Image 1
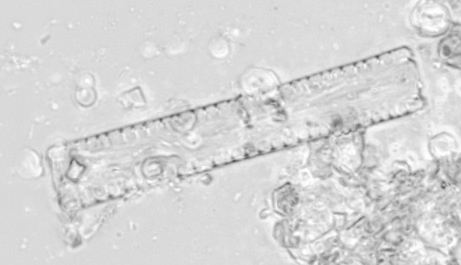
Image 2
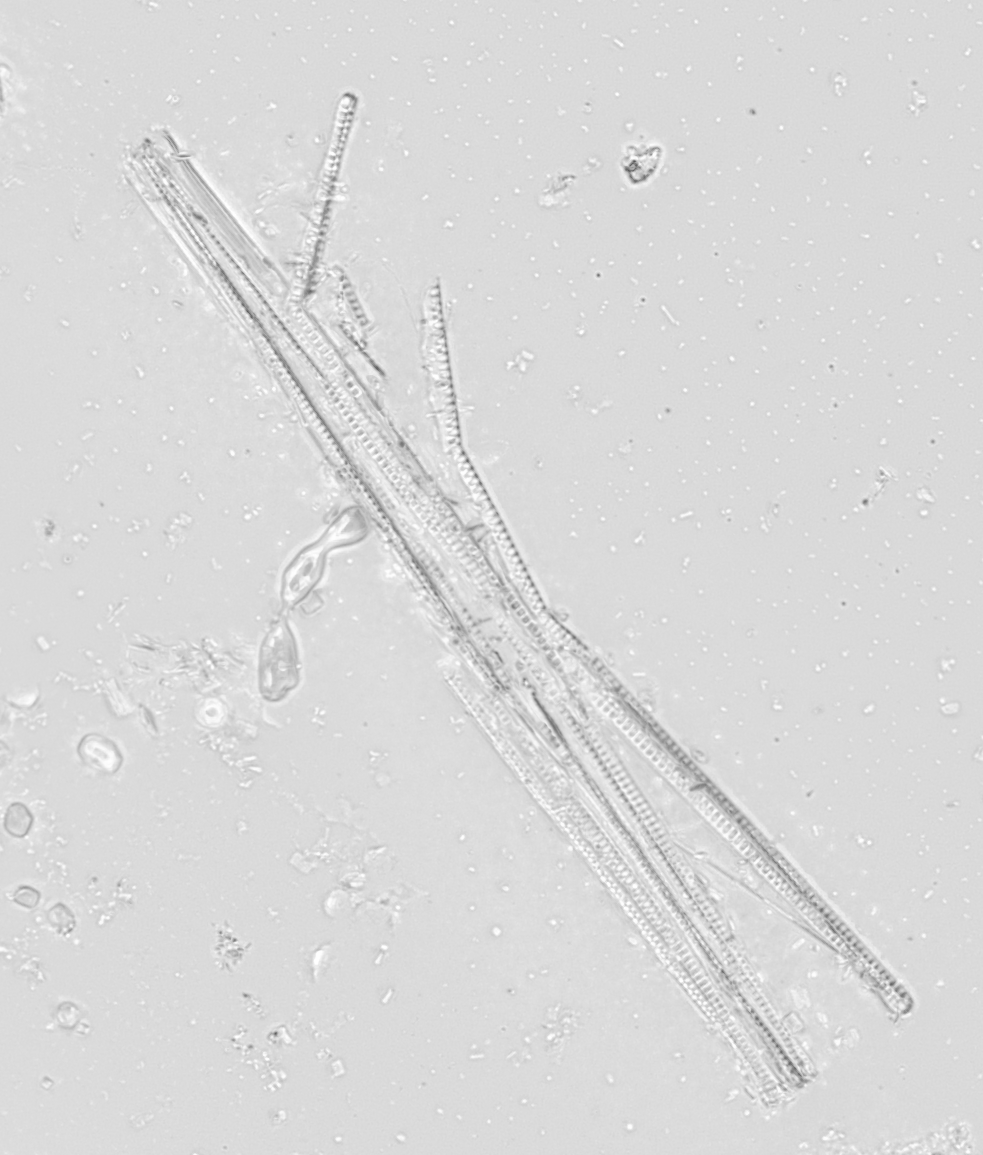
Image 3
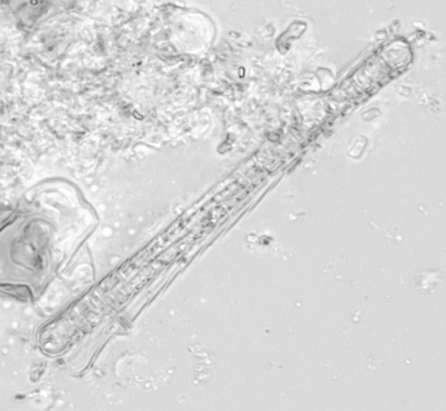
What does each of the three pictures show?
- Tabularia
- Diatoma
(1) Diatoma
(2) Tabularia
(3) Diatoma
